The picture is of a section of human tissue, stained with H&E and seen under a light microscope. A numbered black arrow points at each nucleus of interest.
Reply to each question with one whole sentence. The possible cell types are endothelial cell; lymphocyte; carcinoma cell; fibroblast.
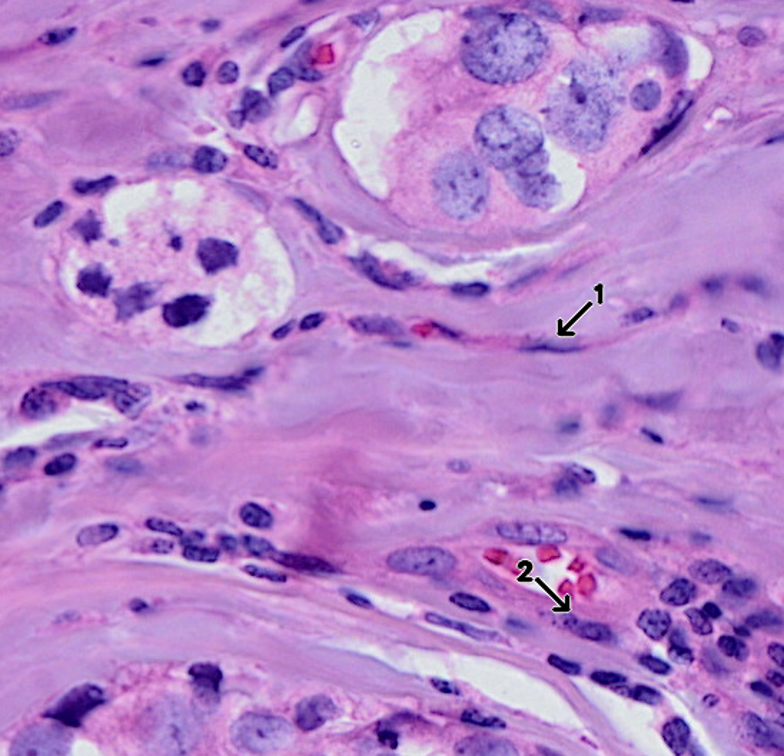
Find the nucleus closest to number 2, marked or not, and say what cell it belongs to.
Closest to number 2 lies the nucleus of a lymphocyte.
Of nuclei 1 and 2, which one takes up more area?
It is nucleus 2, which covers about 1.5 times the area of nucleus 1.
